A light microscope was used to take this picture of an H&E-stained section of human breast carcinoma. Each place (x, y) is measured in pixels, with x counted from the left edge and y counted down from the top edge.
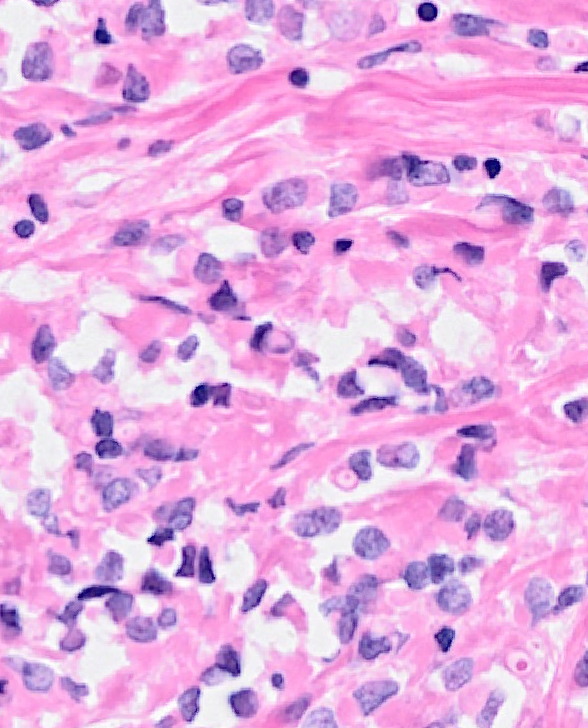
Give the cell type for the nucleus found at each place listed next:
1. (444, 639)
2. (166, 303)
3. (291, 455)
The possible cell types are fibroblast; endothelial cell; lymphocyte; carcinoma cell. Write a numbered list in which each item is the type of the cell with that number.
1. lymphocyte
2. fibroblast
3. fibroblast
